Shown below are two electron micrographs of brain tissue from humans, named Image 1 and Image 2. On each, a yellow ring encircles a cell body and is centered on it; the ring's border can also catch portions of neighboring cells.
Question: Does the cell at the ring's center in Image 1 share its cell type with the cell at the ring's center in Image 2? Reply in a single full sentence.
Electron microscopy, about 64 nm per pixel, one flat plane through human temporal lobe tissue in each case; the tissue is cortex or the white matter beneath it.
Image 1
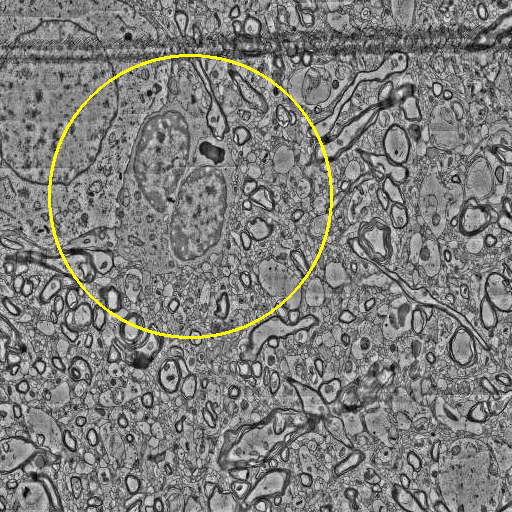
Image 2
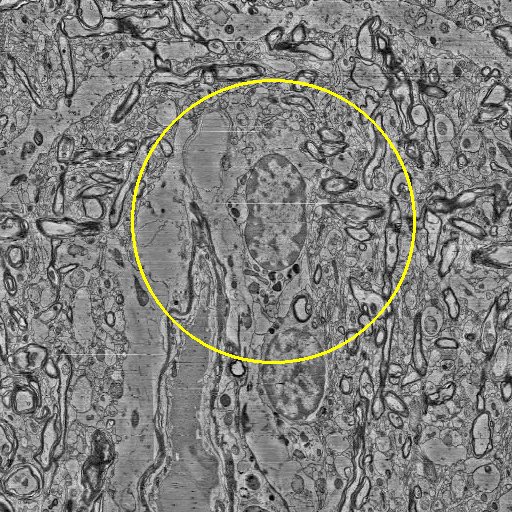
No, the two cells at the ring centers, in Image 1 and Image 2, are of two cell types.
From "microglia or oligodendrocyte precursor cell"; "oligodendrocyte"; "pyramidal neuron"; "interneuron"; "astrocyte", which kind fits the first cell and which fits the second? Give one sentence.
The cell marked in the first picture is an oligodendrocyte, and the one marked in the second is a microglial cell or oligodendrocyte precursor cell.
